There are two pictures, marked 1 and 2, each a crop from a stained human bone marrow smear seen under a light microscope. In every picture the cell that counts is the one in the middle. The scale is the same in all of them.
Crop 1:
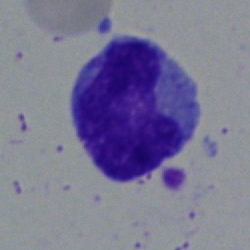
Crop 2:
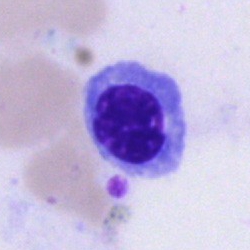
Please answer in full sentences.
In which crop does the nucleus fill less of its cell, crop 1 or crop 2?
In crop 2 the nucleus takes up the smaller part of its cell.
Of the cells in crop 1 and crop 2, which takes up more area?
The cell in crop 1 is larger, with about 1.5 times the area of the one in crop 2.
